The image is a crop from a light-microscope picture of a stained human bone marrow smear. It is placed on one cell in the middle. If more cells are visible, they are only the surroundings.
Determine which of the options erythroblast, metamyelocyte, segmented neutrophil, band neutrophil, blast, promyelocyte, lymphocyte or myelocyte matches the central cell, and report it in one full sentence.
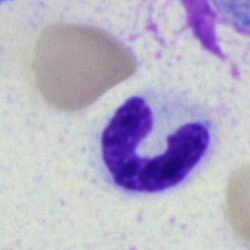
This particular crop is centered on a band neutrophil.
